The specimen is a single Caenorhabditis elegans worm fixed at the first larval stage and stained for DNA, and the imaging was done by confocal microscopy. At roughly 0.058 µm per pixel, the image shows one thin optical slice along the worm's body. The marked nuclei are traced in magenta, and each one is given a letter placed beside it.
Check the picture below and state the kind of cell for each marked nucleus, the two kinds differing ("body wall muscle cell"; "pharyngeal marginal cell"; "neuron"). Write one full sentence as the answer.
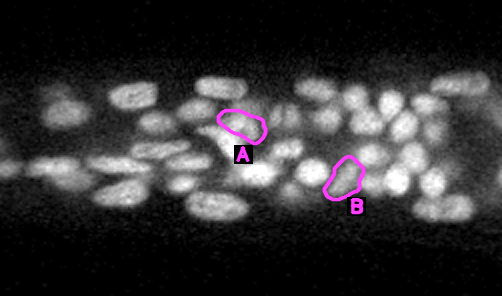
A is the nucleus of a pharyngeal marginal cell; B is the nucleus of a neuron.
